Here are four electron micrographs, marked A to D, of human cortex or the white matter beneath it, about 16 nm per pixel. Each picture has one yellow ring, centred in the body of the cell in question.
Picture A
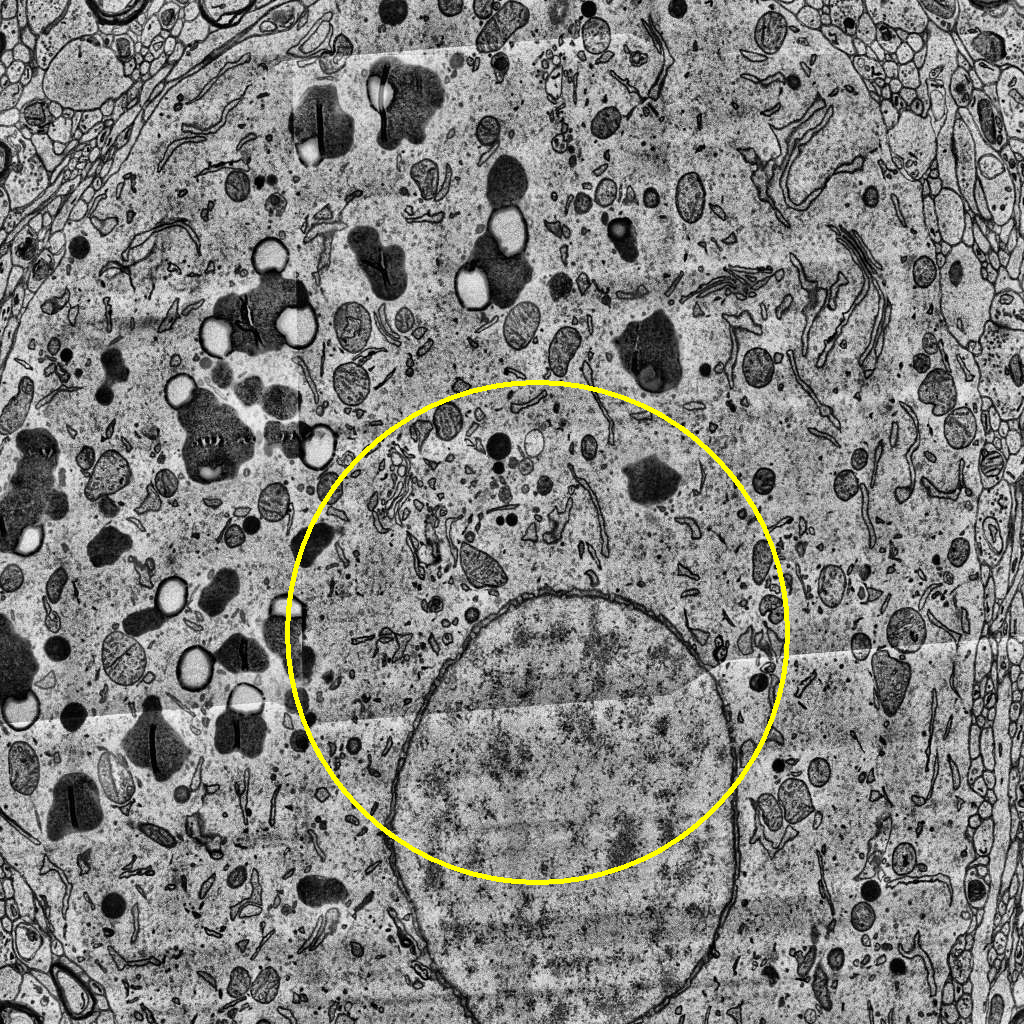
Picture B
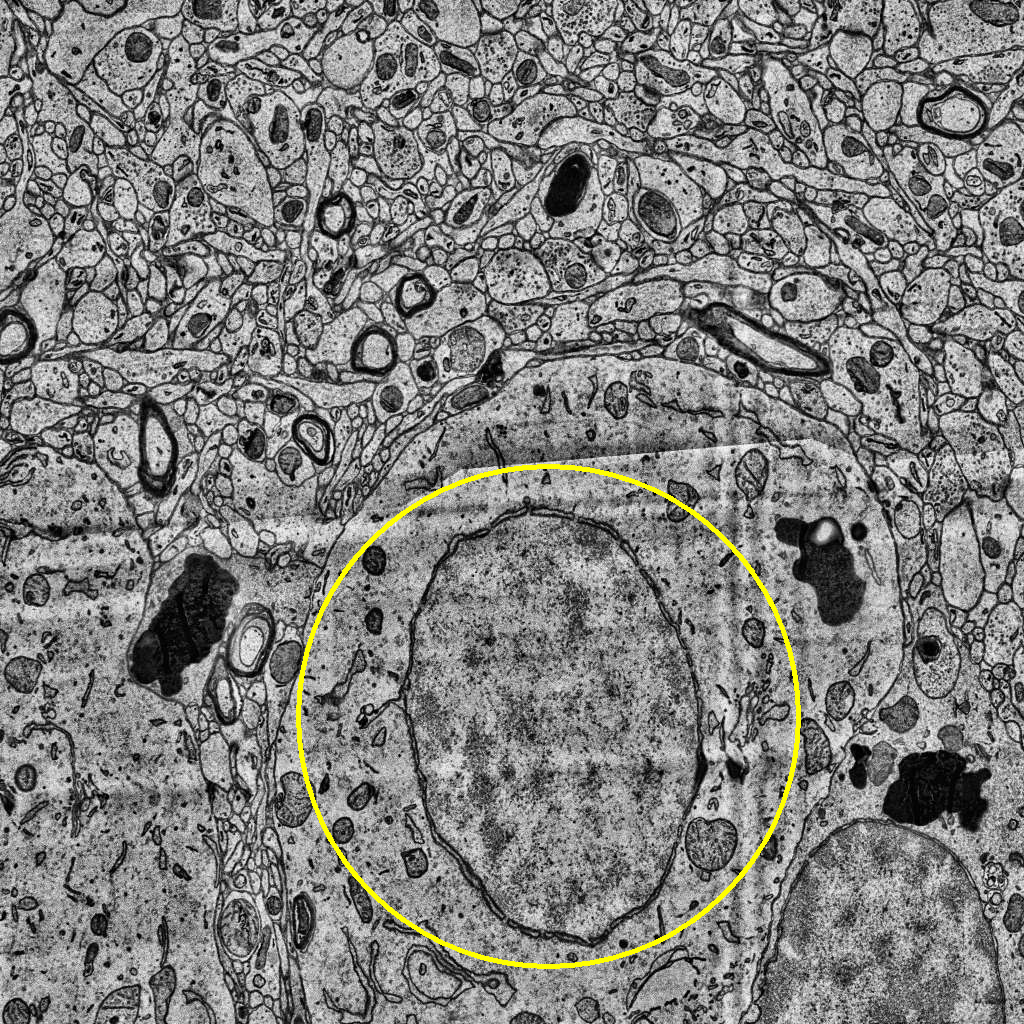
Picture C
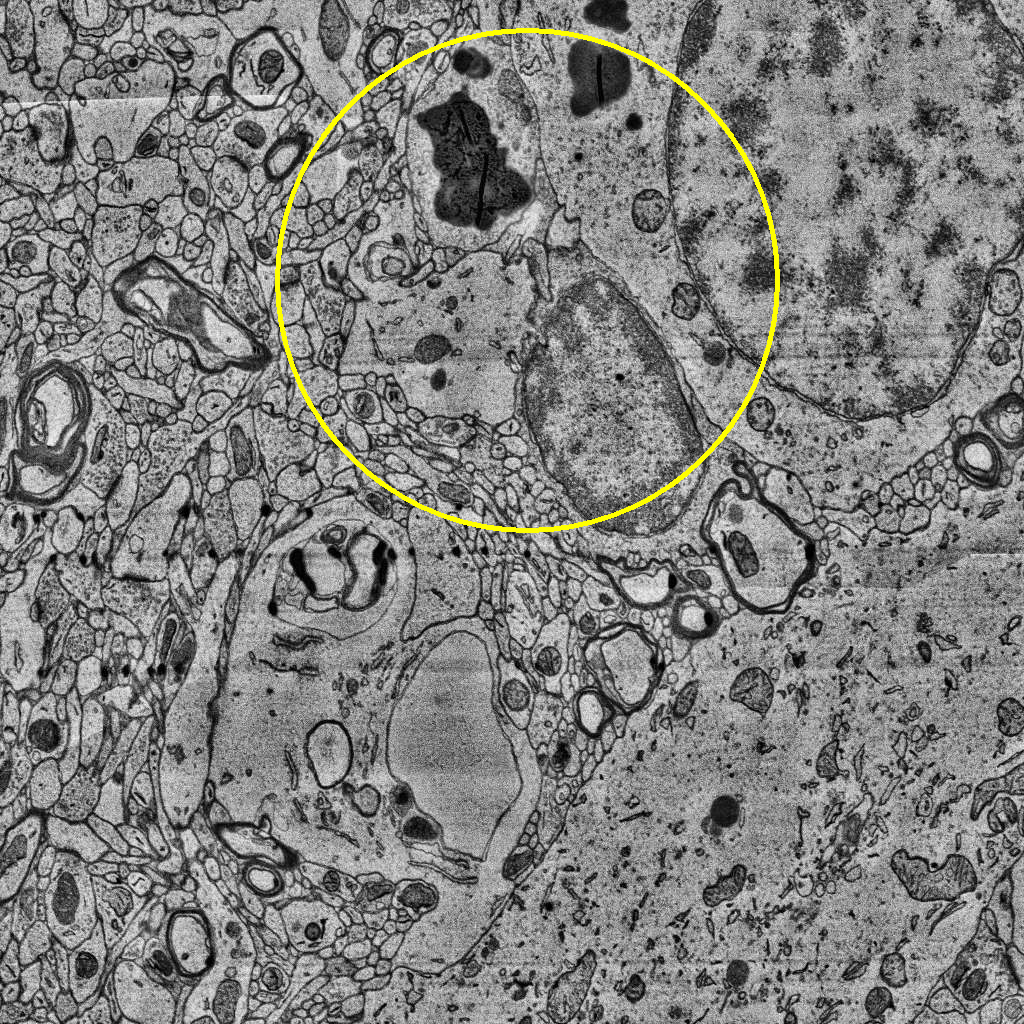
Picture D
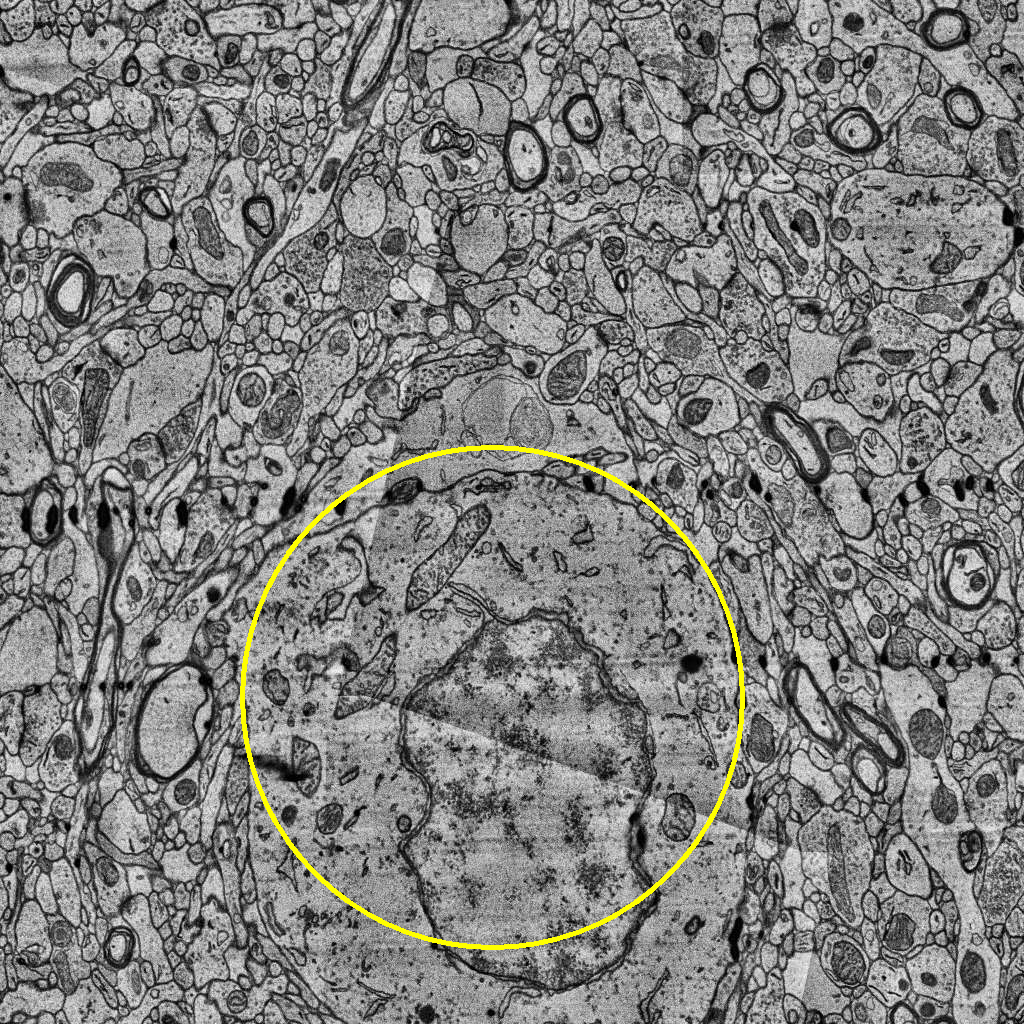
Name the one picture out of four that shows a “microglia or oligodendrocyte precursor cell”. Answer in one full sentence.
The picture with the “microglia or oligodendrocyte precursor cell” is C.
